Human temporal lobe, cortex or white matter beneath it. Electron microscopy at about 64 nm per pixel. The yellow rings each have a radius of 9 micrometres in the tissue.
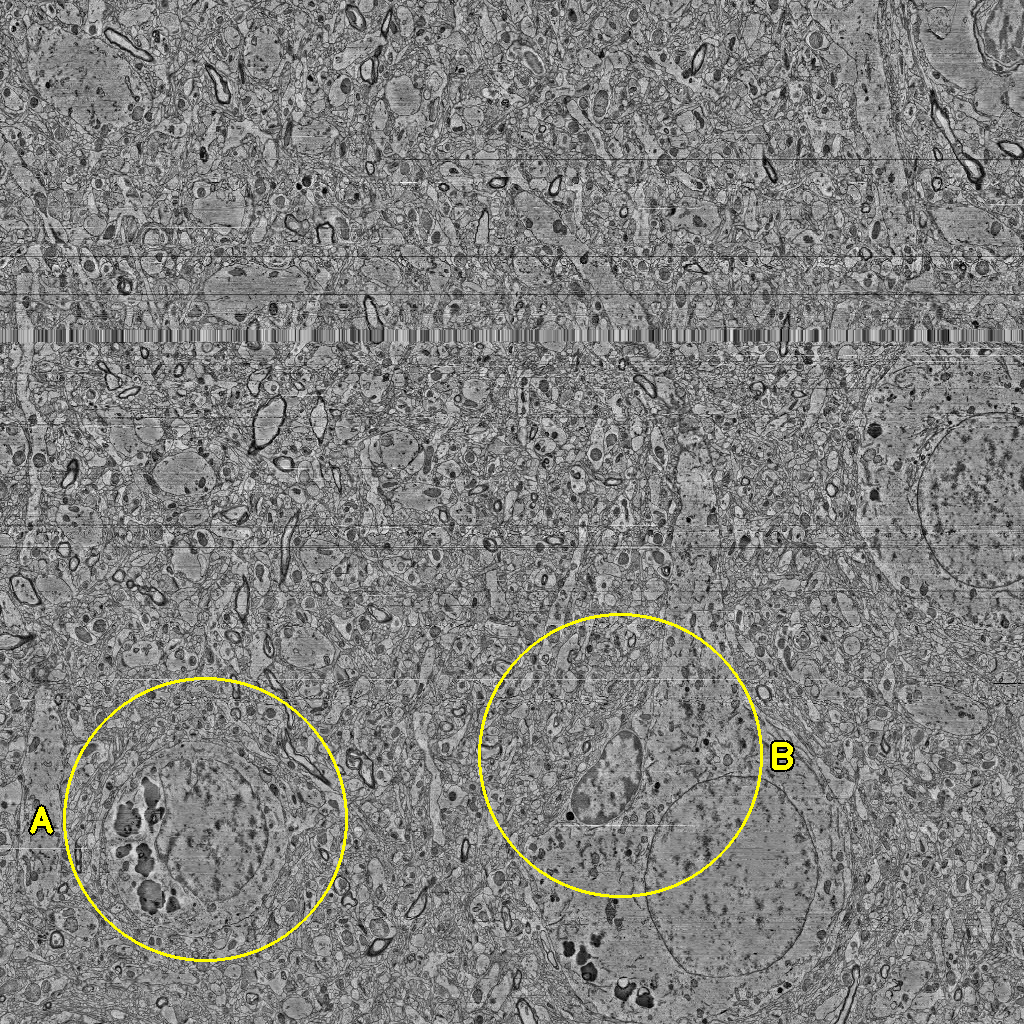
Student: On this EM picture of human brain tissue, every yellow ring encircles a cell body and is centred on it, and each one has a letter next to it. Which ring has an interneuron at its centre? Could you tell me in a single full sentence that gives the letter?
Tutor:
Ring A is the one drawn around the cell you are asking about.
